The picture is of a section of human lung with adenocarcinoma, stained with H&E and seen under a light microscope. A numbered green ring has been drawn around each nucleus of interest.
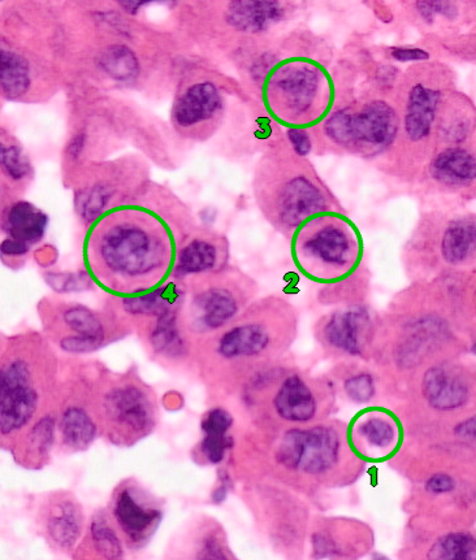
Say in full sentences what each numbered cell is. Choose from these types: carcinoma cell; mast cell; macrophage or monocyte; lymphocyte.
Cell 1 is a lymphocyte. Cells 2, 3 and 4 are carcinoma cells.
